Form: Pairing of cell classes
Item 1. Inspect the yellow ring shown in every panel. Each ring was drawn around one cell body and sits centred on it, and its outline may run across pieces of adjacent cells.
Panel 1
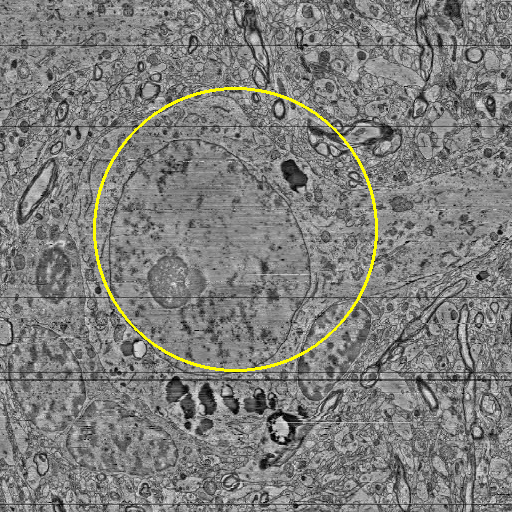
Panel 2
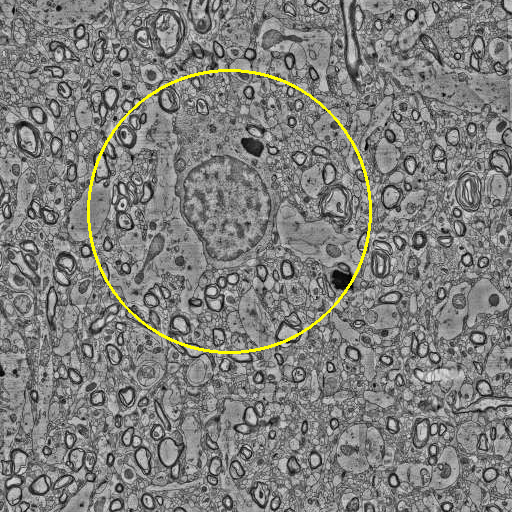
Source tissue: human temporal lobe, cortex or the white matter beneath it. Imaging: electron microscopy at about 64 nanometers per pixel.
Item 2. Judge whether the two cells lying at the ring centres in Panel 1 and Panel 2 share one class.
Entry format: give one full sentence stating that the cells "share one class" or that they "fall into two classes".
The cells at the ring centres in Panel 1 and Panel 2 fall into two classes.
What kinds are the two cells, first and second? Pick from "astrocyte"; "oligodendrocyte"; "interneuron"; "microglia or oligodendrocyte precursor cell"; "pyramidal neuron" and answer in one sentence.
The second picture holds an oligodendrocyte in its ring, and the first holds a pyramidal neuron.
